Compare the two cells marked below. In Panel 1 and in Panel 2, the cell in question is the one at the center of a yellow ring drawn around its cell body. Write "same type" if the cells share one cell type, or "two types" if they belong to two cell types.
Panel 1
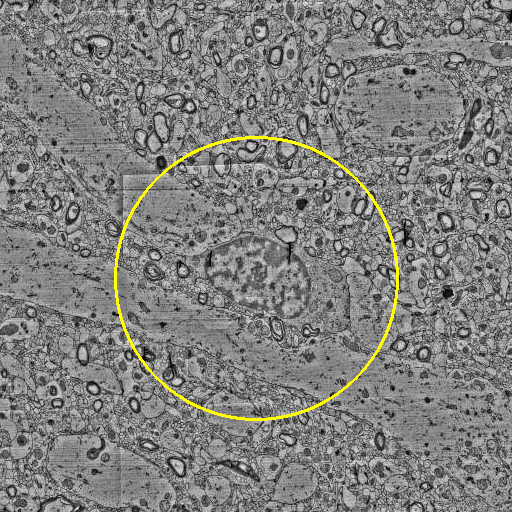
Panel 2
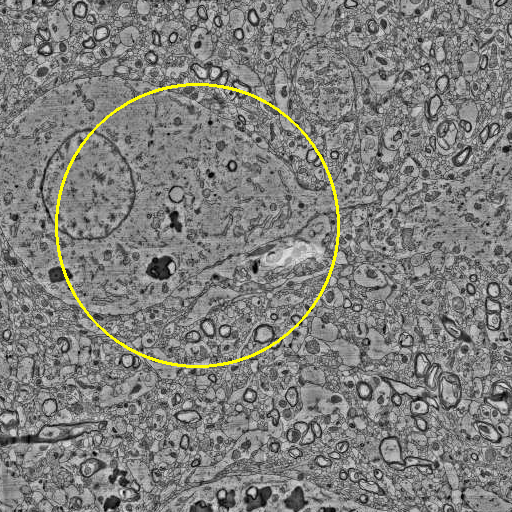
same type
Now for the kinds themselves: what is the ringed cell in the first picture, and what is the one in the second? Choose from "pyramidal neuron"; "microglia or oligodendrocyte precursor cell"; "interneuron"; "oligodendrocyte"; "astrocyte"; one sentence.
In each picture the ringed cell is an oligodendrocyte.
